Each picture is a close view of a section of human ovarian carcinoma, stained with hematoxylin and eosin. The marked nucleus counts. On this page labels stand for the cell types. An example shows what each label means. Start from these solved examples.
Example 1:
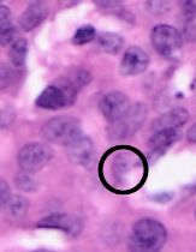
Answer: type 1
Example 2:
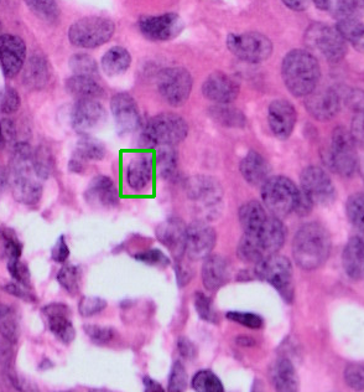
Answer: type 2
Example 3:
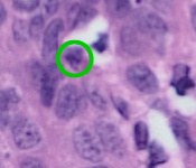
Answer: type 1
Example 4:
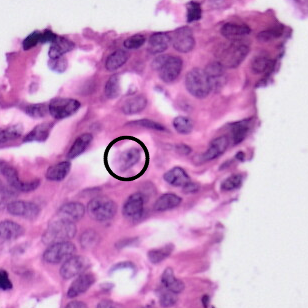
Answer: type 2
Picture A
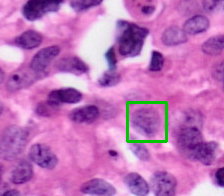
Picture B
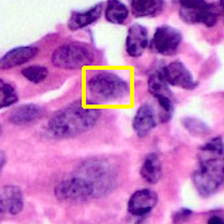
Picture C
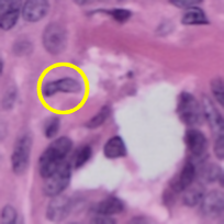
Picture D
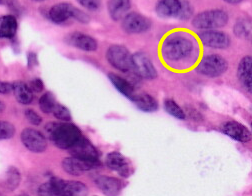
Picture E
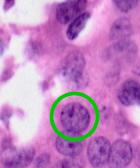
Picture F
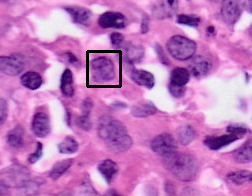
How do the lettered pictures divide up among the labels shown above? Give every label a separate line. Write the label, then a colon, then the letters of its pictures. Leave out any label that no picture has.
type 1: A, B, D, E
type 2: C, F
